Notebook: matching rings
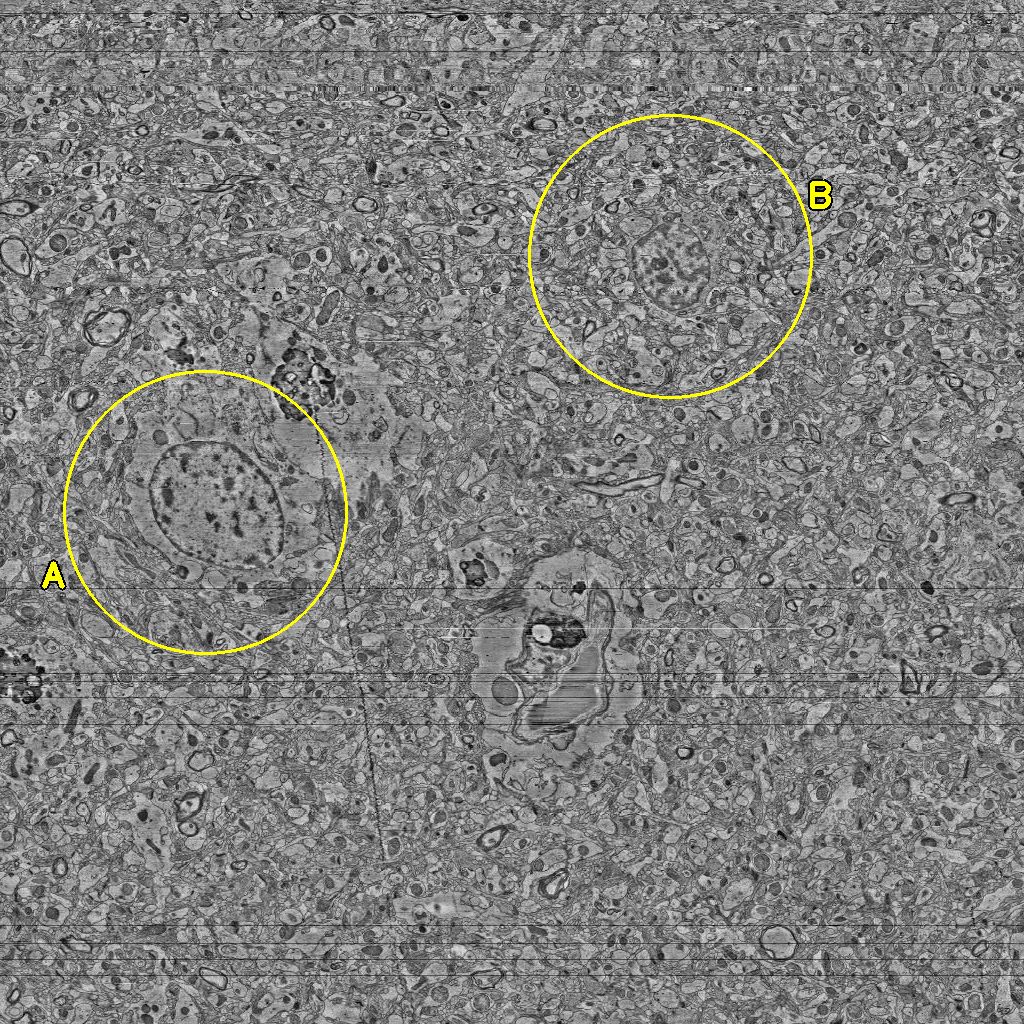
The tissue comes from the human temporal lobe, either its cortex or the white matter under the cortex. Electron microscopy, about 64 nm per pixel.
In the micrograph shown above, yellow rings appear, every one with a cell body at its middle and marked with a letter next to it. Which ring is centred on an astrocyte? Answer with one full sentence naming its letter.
A cell of that kind lies at the centre of the ring lettered A.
